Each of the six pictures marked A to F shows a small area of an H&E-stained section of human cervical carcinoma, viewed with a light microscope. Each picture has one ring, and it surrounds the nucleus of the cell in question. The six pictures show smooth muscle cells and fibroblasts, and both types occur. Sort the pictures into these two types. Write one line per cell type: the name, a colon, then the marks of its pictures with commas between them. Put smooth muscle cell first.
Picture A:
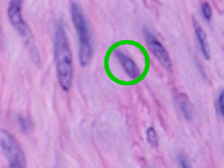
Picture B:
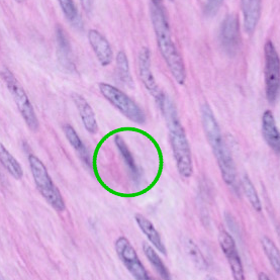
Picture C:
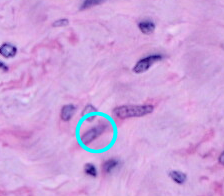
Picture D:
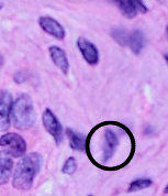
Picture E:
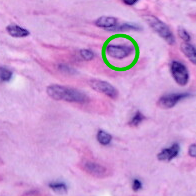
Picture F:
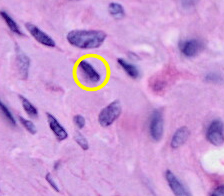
smooth muscle cell: A, B, C, E
fibroblast: D, F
